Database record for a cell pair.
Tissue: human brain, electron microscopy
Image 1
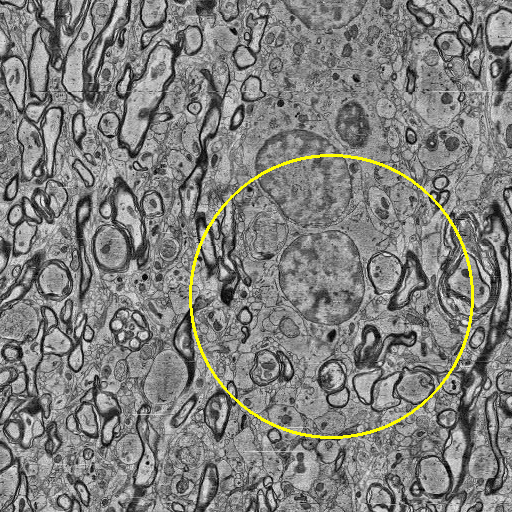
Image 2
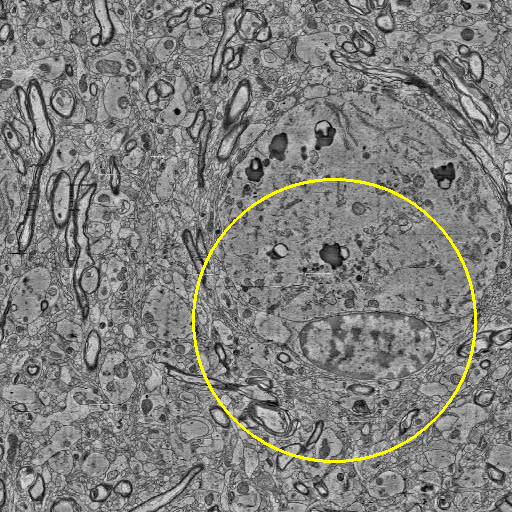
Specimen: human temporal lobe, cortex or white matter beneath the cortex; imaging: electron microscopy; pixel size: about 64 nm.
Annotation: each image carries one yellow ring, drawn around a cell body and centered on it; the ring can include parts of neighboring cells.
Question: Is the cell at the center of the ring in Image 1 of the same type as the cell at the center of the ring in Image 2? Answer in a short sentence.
Yes, the cells are of the same type.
